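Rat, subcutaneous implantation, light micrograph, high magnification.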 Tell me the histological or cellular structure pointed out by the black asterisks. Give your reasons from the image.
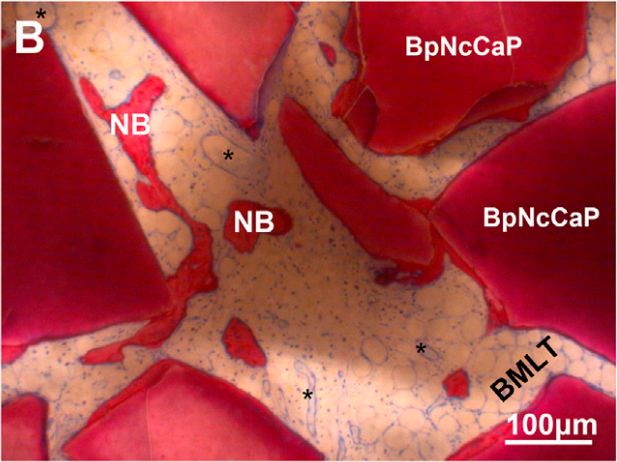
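Blood vessels. Thin-walled round to oval lumens lie among the pale rounded cells. The lumens are lined by a thin flat cell layer.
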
